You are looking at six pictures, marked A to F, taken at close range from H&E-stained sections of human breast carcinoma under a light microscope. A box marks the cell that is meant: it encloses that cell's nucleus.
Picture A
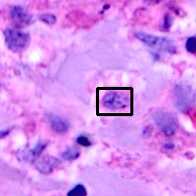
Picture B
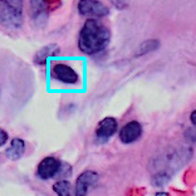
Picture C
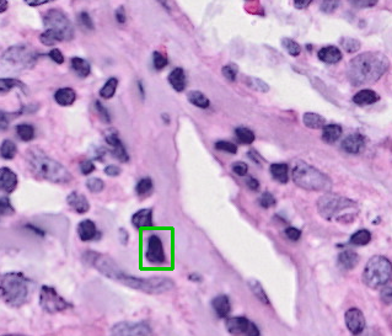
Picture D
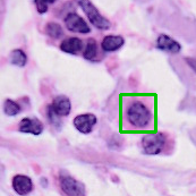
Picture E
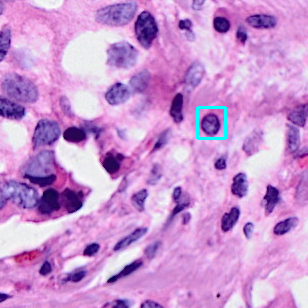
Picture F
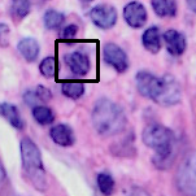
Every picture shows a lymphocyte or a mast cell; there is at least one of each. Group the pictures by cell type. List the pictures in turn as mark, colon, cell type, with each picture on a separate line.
A: mast cell
B: lymphocyte
C: lymphocyte
D: mast cell
E: mast cell
F: lymphocyte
